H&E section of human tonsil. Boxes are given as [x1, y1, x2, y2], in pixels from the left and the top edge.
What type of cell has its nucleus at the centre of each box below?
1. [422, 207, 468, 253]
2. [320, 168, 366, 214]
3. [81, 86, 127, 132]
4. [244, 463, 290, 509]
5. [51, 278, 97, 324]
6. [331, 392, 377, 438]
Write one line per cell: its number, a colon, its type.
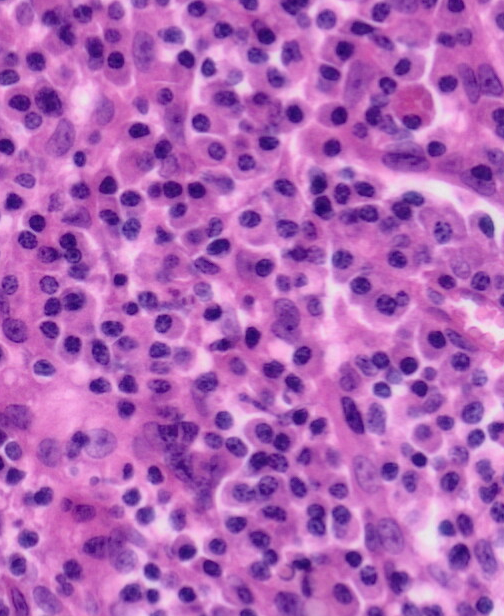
1: plasma cell
2: plasma cell
3: squamous epithelial cell
4: plasma cell
5: plasma cell
6: squamous epithelial cell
